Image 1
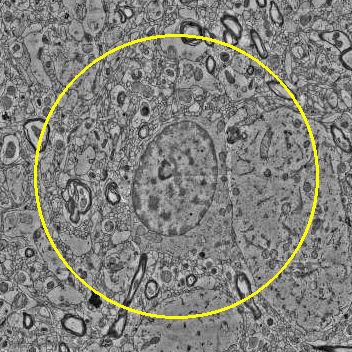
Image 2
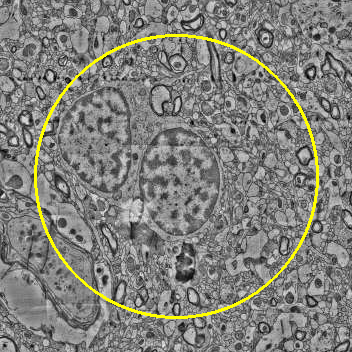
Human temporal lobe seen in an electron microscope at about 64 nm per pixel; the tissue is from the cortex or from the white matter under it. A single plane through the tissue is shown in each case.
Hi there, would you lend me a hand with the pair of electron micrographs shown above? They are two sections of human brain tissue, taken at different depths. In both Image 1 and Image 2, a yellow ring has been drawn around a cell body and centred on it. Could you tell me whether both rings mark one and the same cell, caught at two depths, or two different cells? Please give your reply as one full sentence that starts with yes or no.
No, marked by the two rings are two different cells.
